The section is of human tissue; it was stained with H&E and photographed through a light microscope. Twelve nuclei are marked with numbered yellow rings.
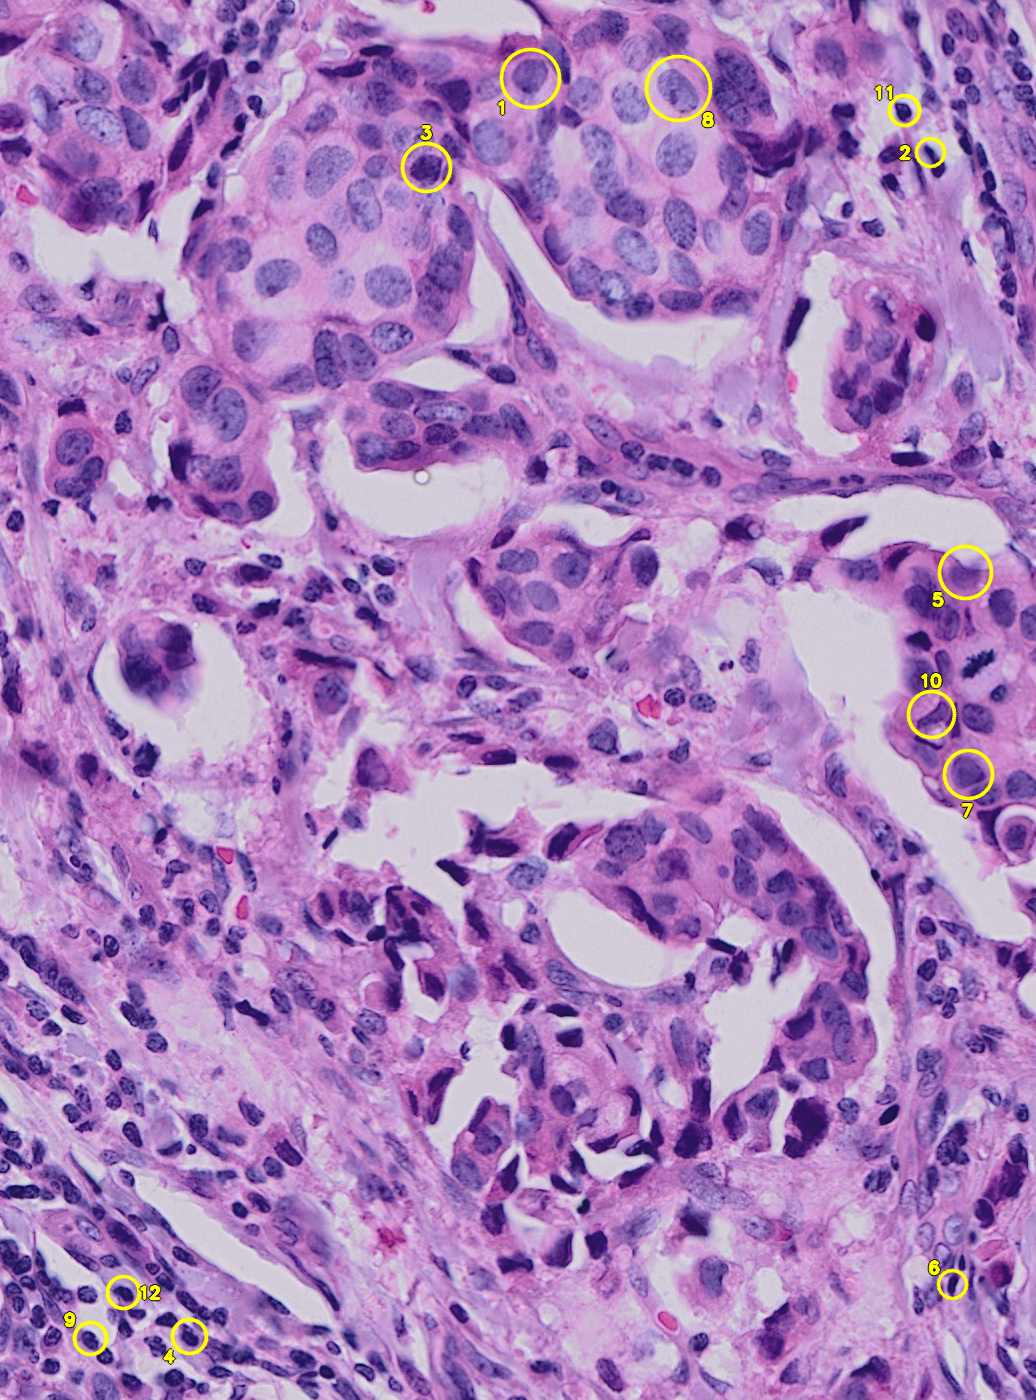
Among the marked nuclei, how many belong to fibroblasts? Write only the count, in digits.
0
